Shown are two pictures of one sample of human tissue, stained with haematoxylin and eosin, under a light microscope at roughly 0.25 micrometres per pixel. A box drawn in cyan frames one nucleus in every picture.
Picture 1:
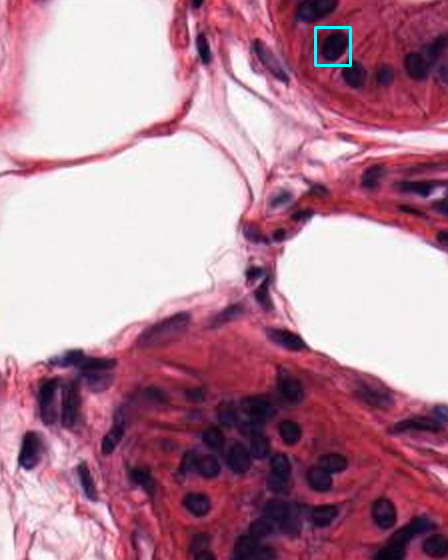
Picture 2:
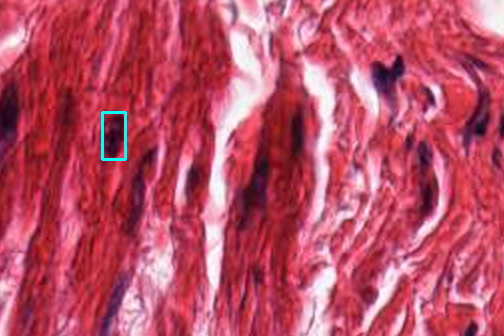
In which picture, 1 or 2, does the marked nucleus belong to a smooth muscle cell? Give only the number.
2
